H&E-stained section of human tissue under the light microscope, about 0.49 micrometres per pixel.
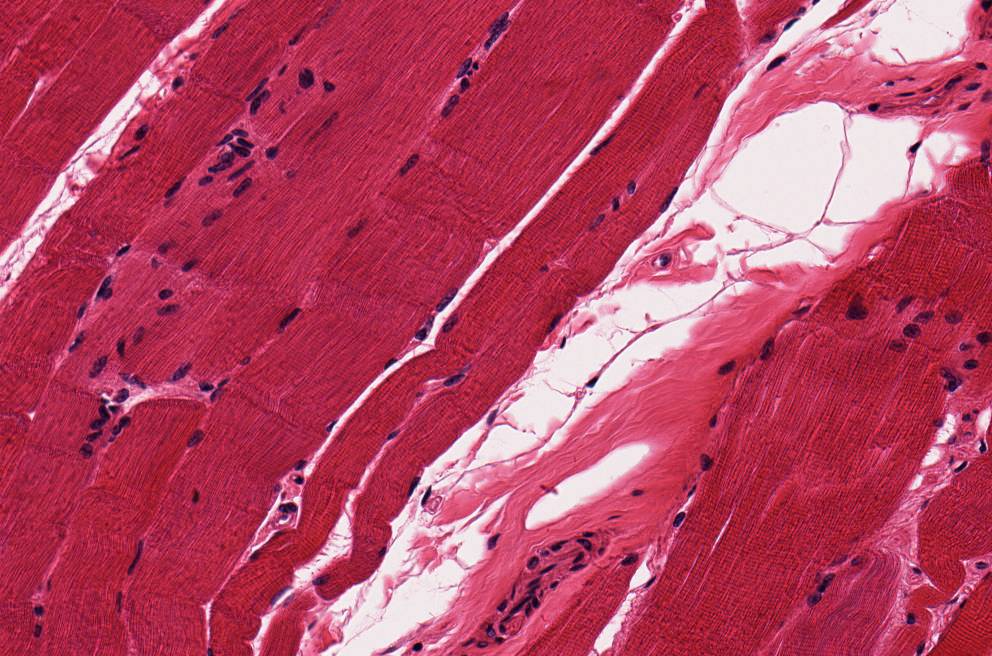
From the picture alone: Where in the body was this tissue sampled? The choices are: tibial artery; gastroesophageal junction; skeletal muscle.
skeletal muscle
